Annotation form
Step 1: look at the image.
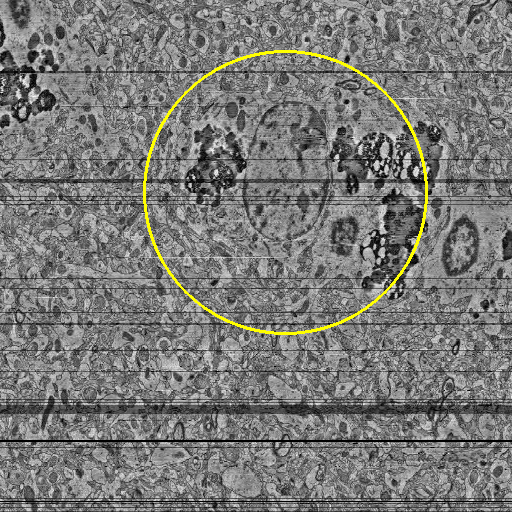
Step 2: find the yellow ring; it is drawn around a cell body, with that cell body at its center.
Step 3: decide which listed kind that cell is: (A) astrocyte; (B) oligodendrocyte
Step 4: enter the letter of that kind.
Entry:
A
